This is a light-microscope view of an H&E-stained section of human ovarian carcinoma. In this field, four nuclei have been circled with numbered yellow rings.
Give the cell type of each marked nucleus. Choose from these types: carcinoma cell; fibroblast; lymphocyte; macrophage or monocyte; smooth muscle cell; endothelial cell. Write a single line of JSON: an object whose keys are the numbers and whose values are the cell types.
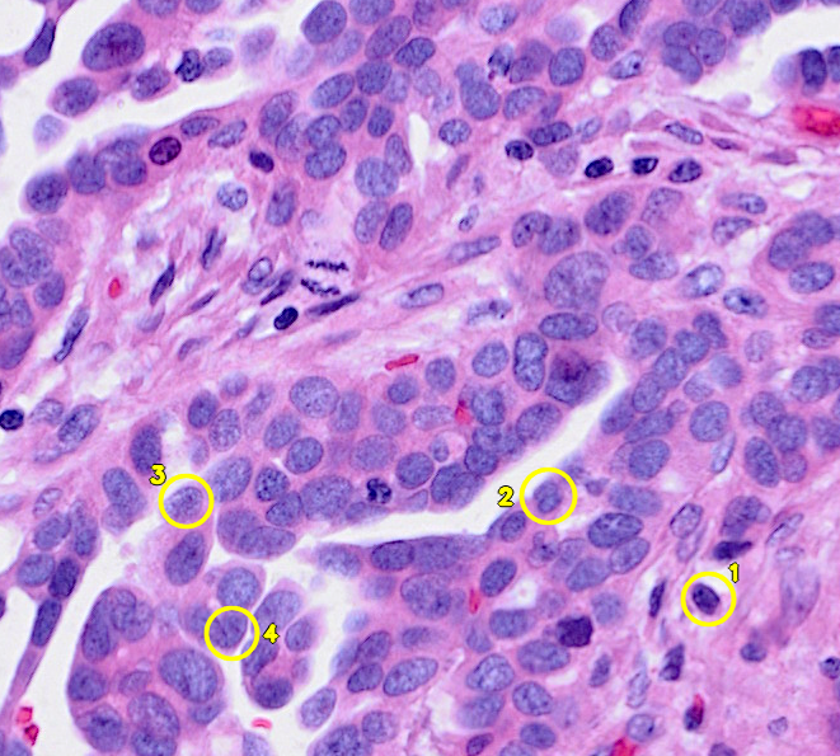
{"1": "lymphocyte", "2": "carcinoma cell", "3": "carcinoma cell", "4": "carcinoma cell"}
